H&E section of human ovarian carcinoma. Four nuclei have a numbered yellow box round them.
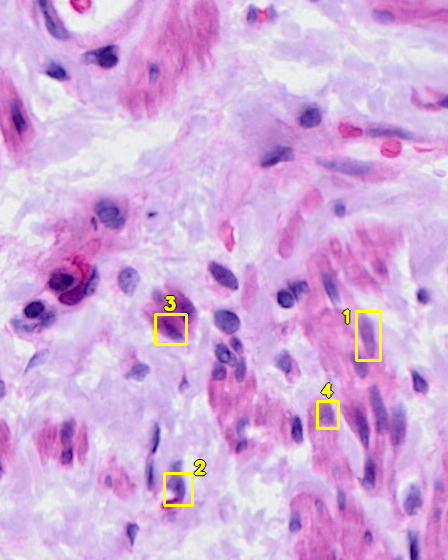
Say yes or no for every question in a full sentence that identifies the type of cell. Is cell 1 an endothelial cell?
No, the cell given number 1 is a smooth muscle cell, not an endothelial cell.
